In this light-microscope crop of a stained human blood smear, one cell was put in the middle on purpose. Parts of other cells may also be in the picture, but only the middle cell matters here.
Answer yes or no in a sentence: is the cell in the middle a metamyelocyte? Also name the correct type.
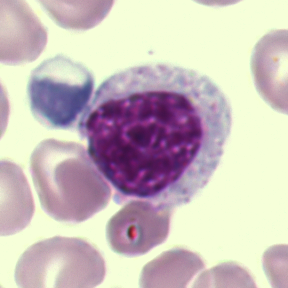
Yes, the cell at the middle is a metamyelocyte.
